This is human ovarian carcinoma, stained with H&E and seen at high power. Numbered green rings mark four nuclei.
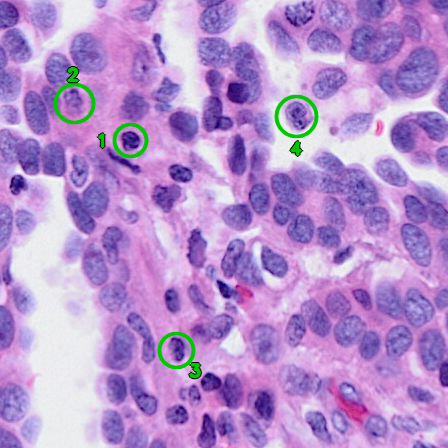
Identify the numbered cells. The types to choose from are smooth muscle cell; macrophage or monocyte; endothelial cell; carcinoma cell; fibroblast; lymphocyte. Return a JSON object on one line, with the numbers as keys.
{"1": "lymphocyte", "2": "macrophage or monocyte", "3": "lymphocyte", "4": "macrophage or monocyte"}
